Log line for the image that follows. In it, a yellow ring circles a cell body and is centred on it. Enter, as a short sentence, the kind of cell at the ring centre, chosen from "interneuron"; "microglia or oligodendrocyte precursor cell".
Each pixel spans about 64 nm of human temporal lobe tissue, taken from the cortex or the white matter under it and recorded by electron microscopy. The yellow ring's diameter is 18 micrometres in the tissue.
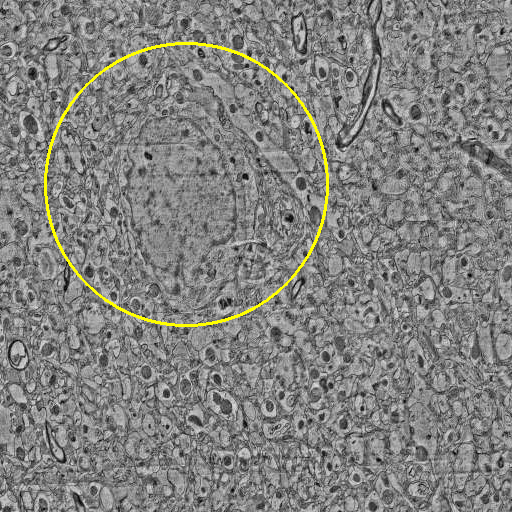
The ring centre is occupied by an interneuron.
